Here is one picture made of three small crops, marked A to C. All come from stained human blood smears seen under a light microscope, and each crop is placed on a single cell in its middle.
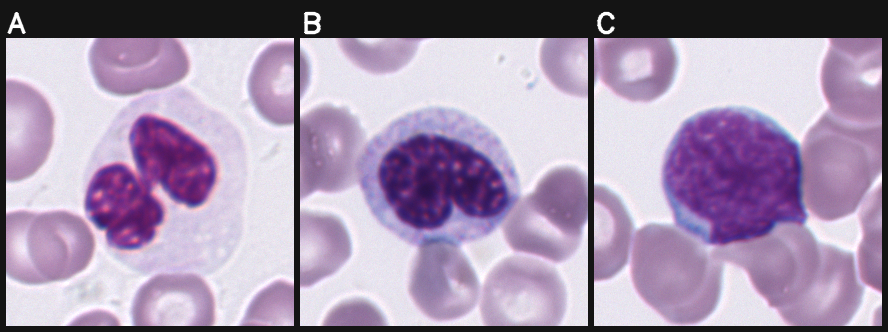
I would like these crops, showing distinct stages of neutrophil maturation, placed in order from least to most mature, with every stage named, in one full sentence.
Sorted by stage of maturation, earliest first, the sequence is crop C (a myeloblast), crop B (a band neutrophil) and crop A (a segmented neutrophil).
